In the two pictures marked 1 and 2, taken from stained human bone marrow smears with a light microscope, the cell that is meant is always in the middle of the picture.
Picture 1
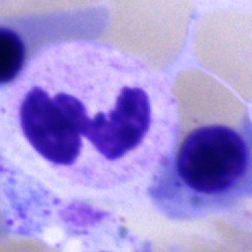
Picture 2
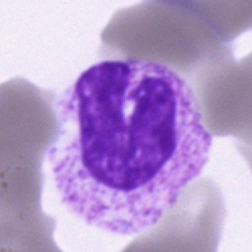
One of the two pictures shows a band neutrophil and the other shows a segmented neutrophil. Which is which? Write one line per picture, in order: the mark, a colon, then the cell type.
1: segmented neutrophil
2: band neutrophil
